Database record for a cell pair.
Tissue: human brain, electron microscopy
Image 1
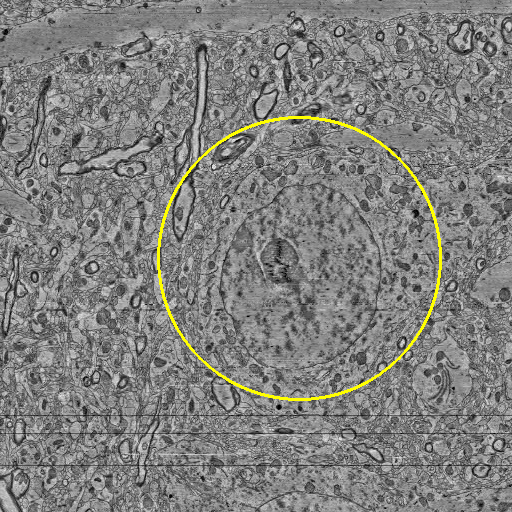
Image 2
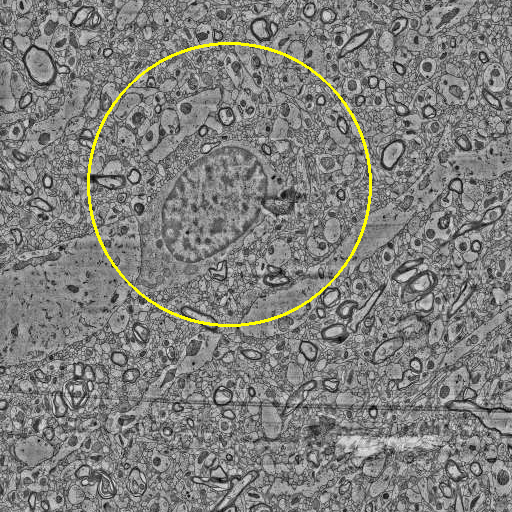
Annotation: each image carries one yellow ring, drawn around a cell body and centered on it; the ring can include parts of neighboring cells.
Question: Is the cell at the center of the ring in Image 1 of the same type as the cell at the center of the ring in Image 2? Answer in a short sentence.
No, the cells are of two types.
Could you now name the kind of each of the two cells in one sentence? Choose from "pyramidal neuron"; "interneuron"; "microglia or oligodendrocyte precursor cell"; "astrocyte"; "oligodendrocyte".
The first ring encloses an interneuron; the second ring encloses an oligodendrocyte.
